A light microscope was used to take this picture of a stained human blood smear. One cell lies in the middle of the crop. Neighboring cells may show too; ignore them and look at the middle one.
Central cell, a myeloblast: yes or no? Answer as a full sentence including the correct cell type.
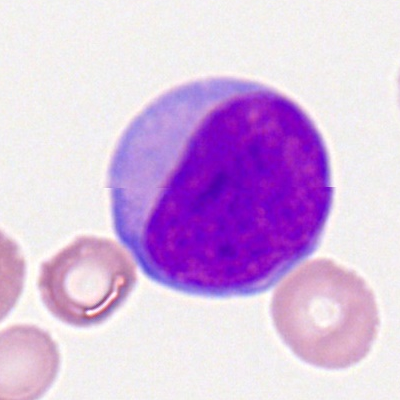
Yes, the cell in the centre is a myeloblast.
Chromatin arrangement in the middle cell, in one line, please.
The nuclear chromatin is fine, showing no coarse aggregates.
